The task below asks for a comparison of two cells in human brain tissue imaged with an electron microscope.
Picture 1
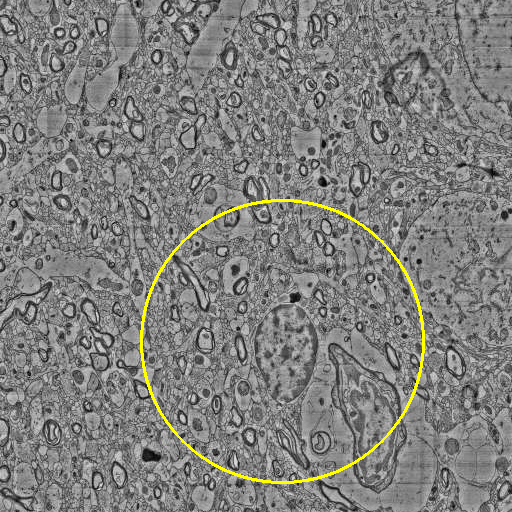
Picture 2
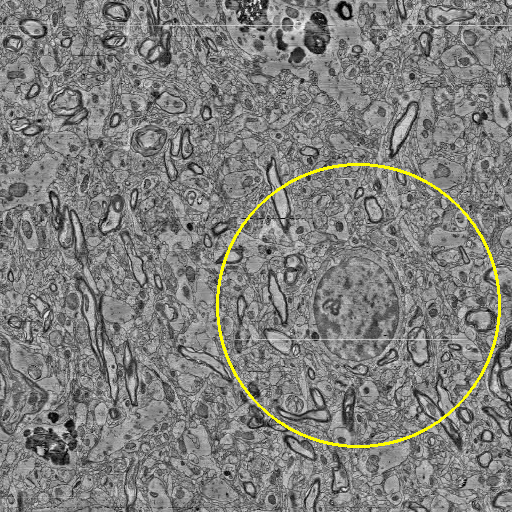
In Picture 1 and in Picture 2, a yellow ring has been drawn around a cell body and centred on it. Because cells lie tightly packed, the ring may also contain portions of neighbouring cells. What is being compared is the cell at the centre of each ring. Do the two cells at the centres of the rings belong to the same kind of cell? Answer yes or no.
no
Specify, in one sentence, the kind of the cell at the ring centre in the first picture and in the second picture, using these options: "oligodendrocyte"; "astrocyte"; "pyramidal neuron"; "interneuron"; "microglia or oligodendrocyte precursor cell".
So the first is a microglial cell or oligodendrocyte precursor cell, the second an oligodendrocyte.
